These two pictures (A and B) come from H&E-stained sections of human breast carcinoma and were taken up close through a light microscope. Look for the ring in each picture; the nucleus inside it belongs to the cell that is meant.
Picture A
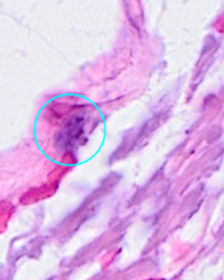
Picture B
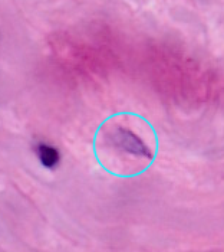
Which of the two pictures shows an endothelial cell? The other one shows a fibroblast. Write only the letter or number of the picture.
A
